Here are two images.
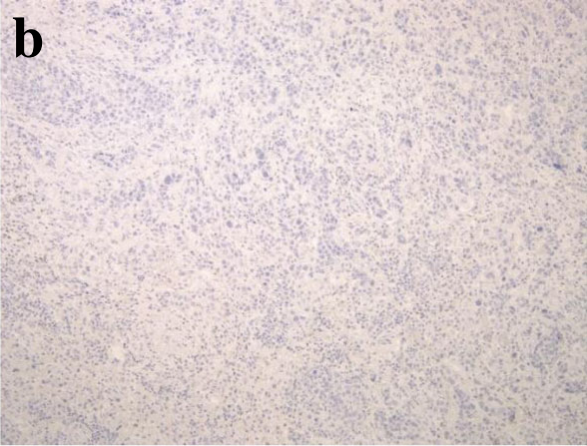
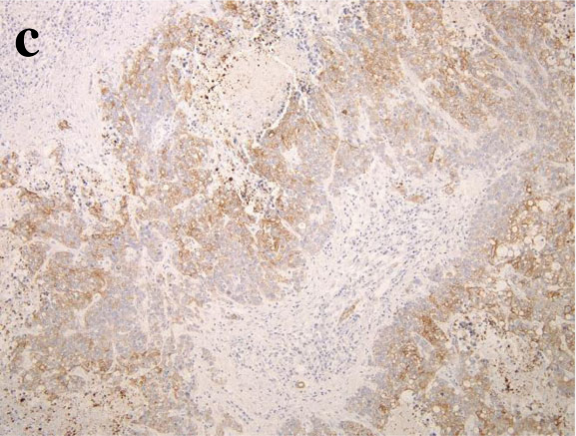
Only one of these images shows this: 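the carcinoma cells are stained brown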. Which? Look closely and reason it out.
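First image: the tumor cells show only blue nuclear counterstain, no brown. Second image: sheets of tumor cells carry brown cytoplasmic stain.
Conclusion: the second image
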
